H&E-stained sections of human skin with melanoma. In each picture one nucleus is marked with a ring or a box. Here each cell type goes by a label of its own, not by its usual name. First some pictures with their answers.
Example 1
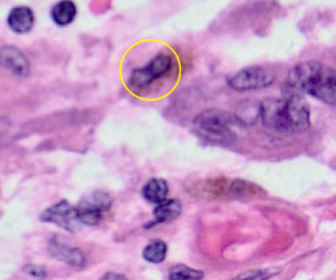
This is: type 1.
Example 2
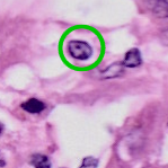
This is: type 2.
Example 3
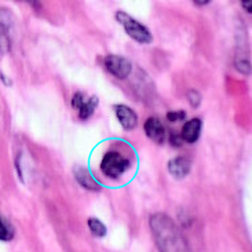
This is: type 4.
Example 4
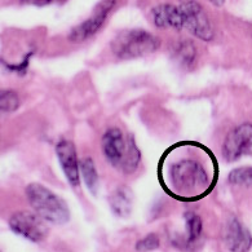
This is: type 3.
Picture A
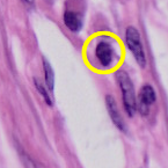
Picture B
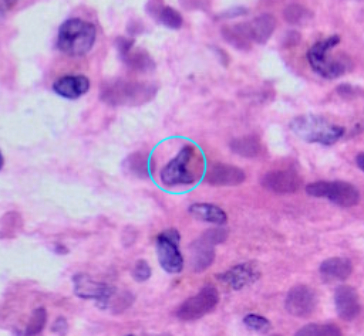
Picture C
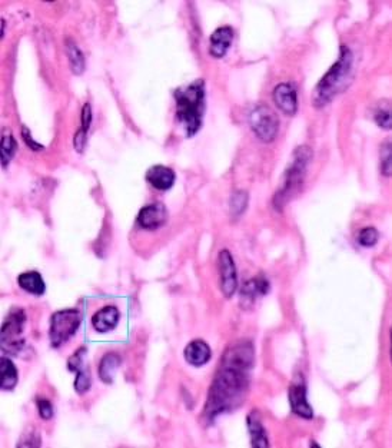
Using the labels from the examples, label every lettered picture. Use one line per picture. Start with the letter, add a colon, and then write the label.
A: type 4.
B: type 1.
C: type 2.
